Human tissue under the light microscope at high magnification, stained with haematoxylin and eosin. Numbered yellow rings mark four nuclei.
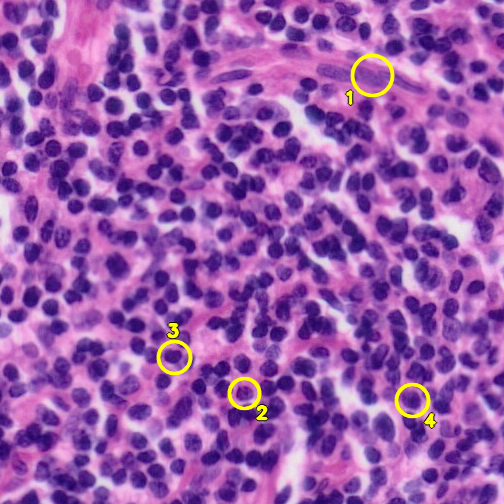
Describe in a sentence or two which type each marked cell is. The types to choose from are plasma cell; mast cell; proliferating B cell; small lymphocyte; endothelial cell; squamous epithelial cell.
Cell 1 is an endothelial cell, cell 2 is a small lymphocyte, cell 3 is a small lymphocyte and cell 4 is a small lymphocyte.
